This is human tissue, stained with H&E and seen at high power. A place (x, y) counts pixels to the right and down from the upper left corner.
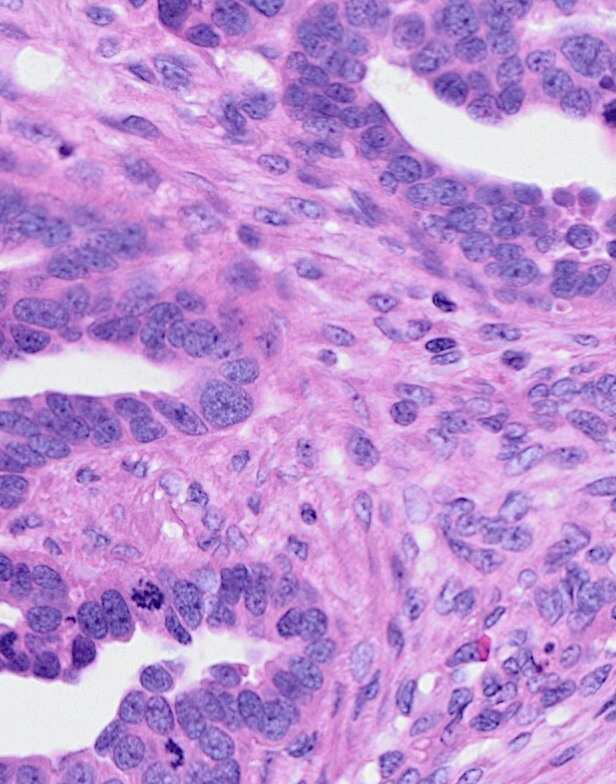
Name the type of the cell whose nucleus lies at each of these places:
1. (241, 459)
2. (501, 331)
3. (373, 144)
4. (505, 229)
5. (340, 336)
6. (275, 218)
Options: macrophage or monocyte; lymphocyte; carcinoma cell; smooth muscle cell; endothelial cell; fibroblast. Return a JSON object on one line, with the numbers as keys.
{"1": "fibroblast", "2": "fibroblast", "3": "carcinoma cell", "4": "carcinoma cell", "5": "fibroblast", "6": "fibroblast"}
